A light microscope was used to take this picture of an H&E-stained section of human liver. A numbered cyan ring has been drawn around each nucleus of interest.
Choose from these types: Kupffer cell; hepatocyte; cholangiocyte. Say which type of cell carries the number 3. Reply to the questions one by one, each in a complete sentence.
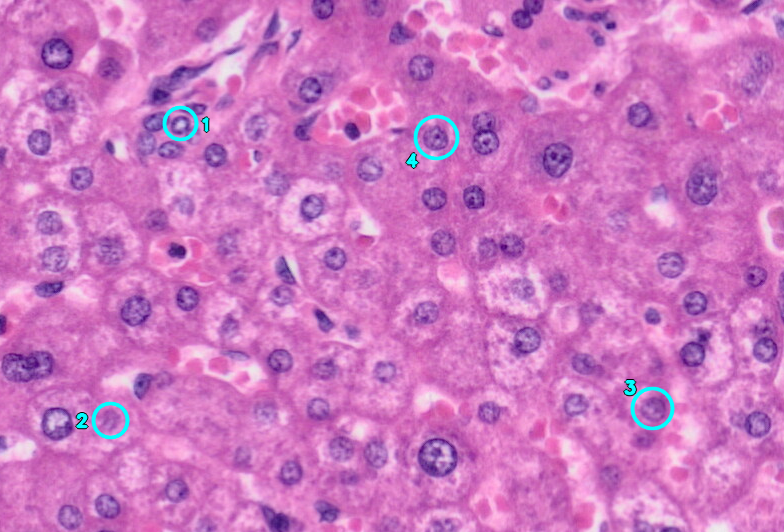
Regarding cell 3, this one is a hepatocyte.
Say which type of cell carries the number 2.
Of the numbered cells, the one labelled 2 is a hepatocyte.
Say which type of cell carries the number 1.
That cell with number 1 is a cholangiocyte.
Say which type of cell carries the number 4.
The identity of cell 4 is that of a hepatocyte.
